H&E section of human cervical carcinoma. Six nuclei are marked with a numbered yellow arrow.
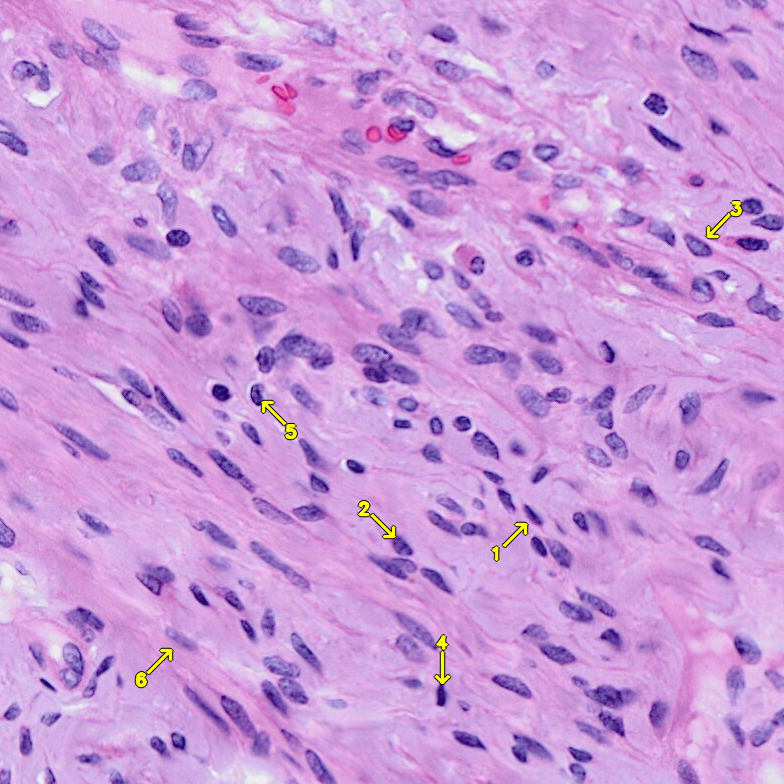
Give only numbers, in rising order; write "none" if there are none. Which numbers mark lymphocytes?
5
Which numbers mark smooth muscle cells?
3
